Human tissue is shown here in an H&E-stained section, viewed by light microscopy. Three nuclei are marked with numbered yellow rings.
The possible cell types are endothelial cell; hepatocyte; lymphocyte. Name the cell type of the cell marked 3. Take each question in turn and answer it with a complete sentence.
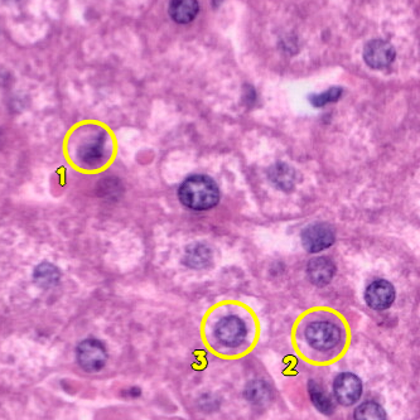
As for number 3, that cell is a hepatocyte.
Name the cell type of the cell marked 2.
The cell marked with number 2 is a hepatocyte.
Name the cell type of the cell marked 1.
Cell 1, among those numbered, is an endothelial cell.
